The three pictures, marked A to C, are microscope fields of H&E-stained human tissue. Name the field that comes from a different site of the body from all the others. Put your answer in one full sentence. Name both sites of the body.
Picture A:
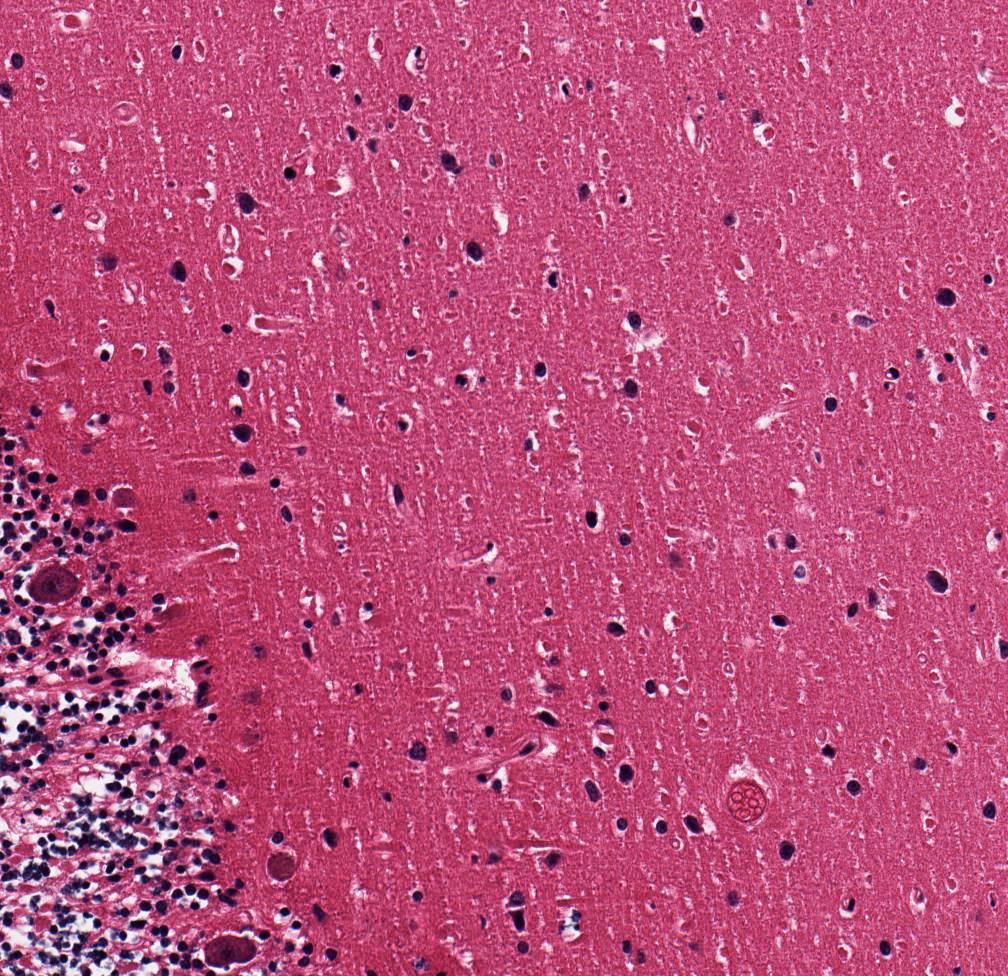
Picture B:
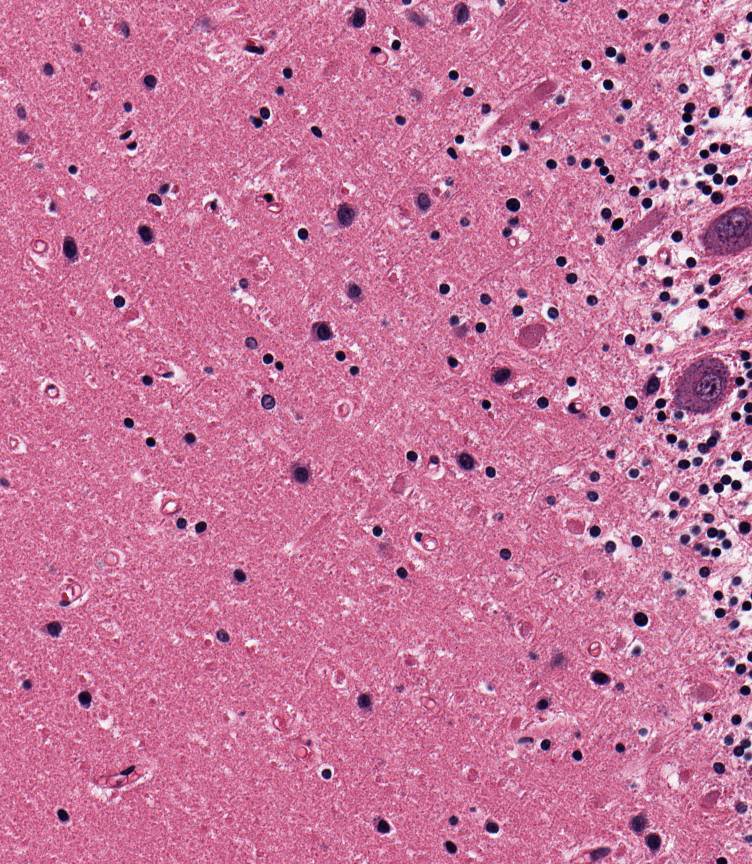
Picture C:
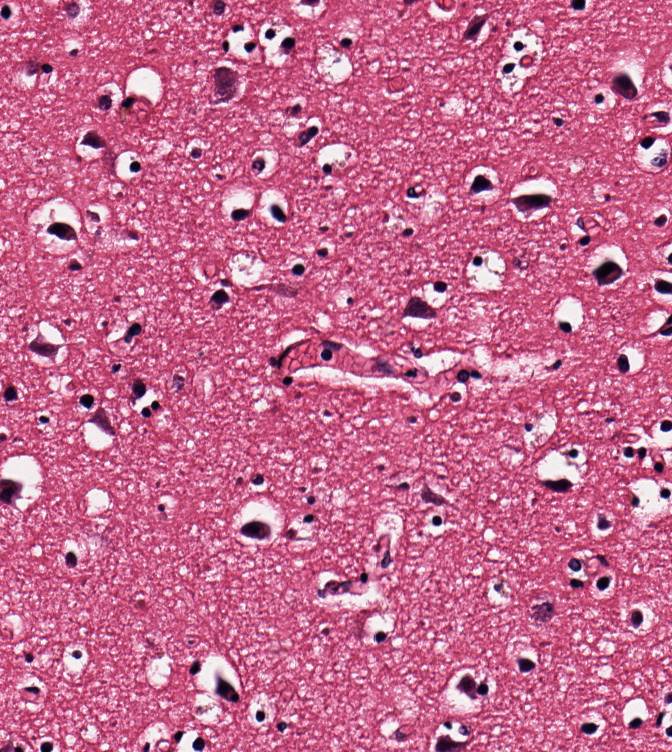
Unlike the rest, which come from the cerebellum, picture C comes from the cerebral cortex.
